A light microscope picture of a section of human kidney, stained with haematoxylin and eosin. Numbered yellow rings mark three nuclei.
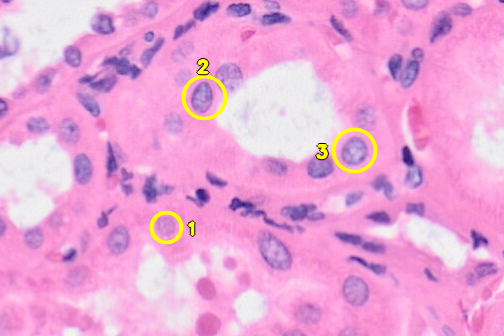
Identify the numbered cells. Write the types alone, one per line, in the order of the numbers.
proximal tubule cell
loop of Henle or distal tubule cell
loop of Henle or distal tubule cell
